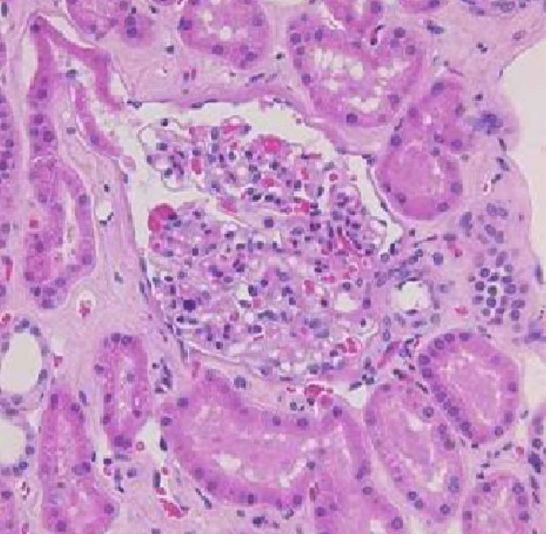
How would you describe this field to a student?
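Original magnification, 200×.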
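This section shows a round glomerulus sitting in the middle, surrounded by tubules, stained pink and purple. The glomerular tuft is packed with small dark purple nuclei and red blood cells in its capillary loops, and is separated by a clear space from the thin capsule around it. Around it lie cross-sections of tubules lined by a single layer of cuboidal epithelial cells with round purple nuclei and abundant pink, somewhat granular cytoplasm, enclosing small irregular lumens. Thin strands of pale pink connective tissue run between the tubules, and a few small vessels are seen near the glomerulus.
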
